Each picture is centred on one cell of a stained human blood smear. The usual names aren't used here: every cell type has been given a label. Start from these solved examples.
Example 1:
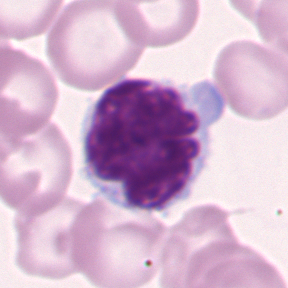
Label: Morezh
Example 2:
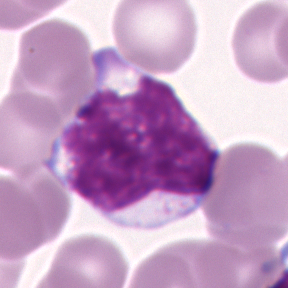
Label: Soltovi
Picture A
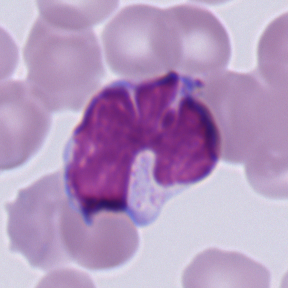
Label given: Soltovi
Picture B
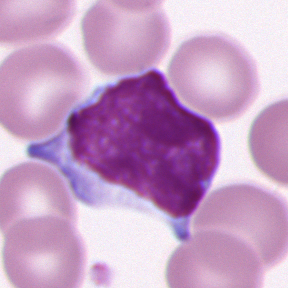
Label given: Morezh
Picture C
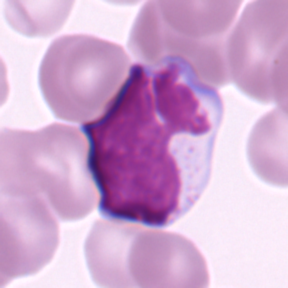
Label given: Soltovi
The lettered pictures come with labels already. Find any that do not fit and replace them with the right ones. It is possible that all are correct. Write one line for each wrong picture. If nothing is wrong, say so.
Nothing to fix; every label fits.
